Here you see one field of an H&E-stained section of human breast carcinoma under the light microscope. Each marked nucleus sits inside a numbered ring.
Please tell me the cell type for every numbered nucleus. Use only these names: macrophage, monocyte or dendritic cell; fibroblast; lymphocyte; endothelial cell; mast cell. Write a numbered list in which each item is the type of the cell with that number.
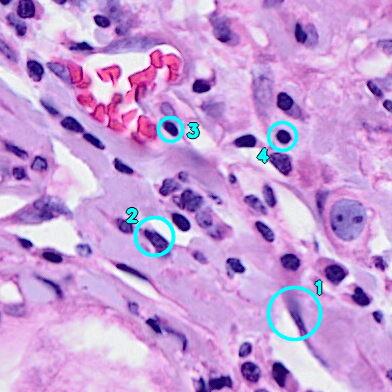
1. fibroblast
2. lymphocyte
3. lymphocyte
4. lymphocyte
